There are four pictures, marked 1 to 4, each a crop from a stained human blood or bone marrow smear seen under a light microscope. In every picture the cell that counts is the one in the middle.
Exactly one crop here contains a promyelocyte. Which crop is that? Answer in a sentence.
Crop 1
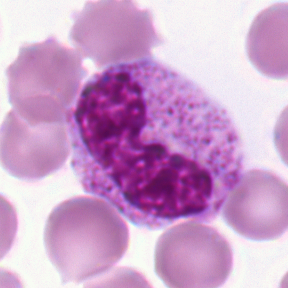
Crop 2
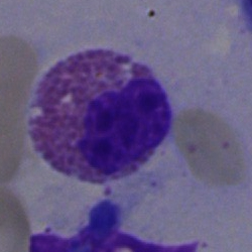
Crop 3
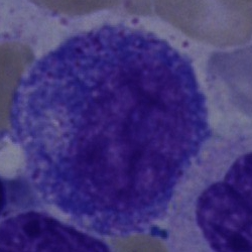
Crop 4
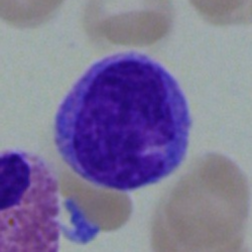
The crop carrying a promyelocyte at the center is crop 3.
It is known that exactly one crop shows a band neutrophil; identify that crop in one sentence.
Crop 1 shows a band neutrophil, and no other crop does.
